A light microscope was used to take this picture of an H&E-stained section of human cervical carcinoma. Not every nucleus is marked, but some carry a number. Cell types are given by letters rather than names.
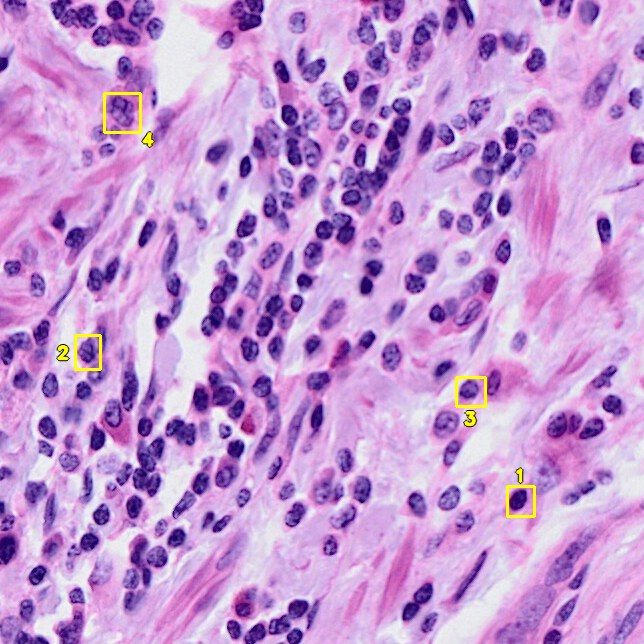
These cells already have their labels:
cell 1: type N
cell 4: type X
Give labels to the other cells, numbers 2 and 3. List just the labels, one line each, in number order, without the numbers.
type N
type N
